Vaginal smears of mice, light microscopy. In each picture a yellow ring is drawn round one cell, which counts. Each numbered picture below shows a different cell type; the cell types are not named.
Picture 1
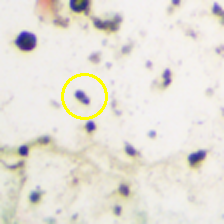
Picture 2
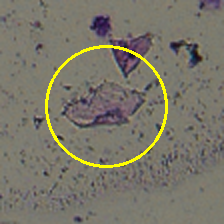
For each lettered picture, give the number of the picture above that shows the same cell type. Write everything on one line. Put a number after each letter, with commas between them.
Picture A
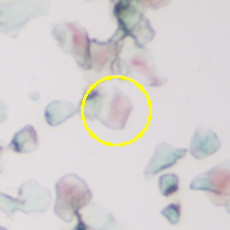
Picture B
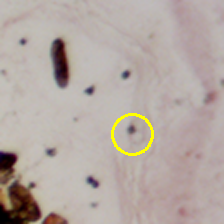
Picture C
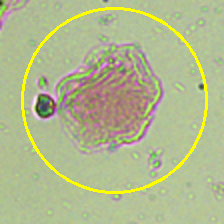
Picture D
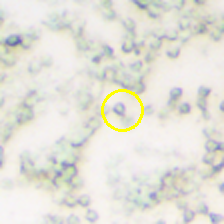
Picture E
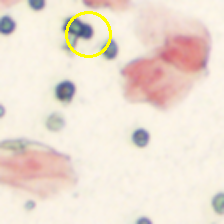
A 2, B 1, C 2, D 1, E 1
